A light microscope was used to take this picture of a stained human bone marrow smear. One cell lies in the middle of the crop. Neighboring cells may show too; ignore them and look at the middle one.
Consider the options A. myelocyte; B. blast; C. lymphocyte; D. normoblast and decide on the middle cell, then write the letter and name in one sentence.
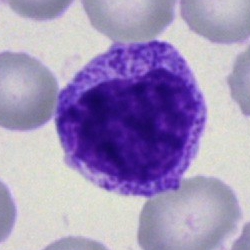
The expected answer is option A, the central cell being a myelocyte.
